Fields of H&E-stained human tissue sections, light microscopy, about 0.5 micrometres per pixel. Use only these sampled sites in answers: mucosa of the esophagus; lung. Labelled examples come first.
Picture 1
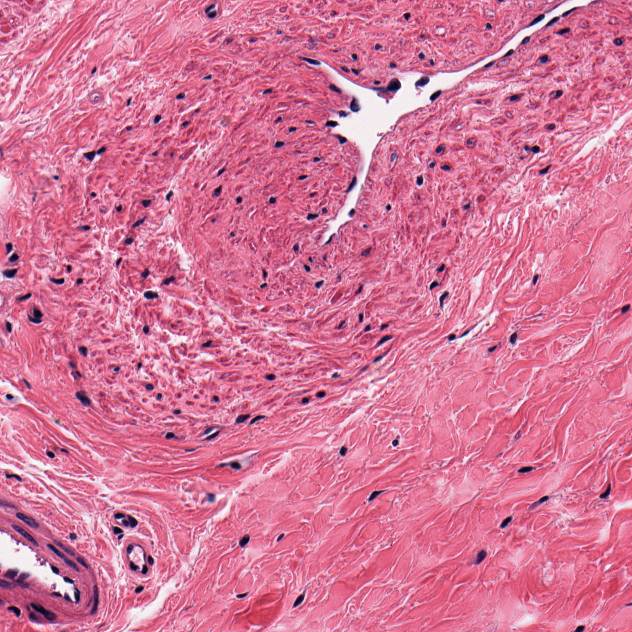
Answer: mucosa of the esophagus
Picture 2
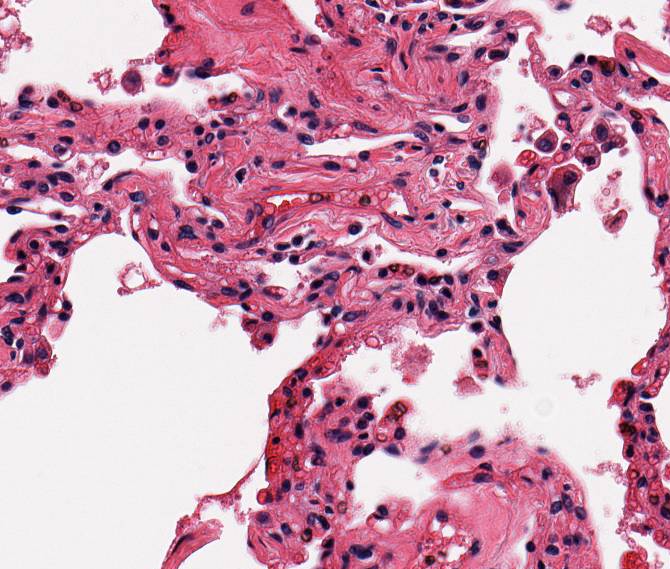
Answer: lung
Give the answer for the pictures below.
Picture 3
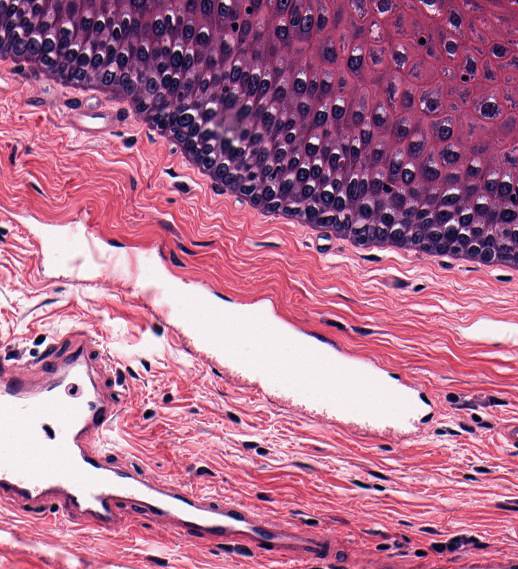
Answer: mucosa of the esophagus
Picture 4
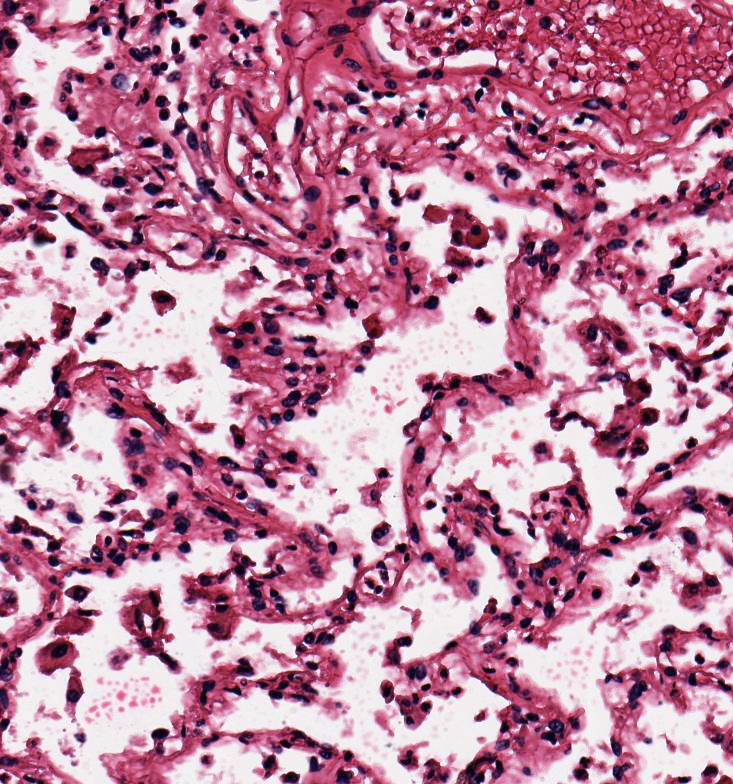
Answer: lung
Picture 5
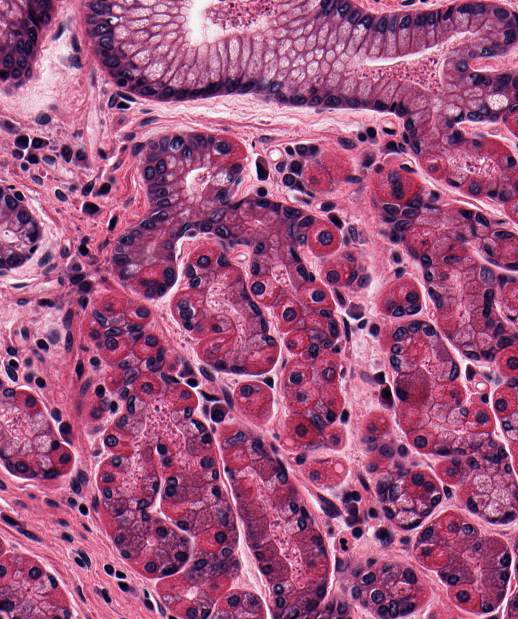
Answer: mucosa of the esophagus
